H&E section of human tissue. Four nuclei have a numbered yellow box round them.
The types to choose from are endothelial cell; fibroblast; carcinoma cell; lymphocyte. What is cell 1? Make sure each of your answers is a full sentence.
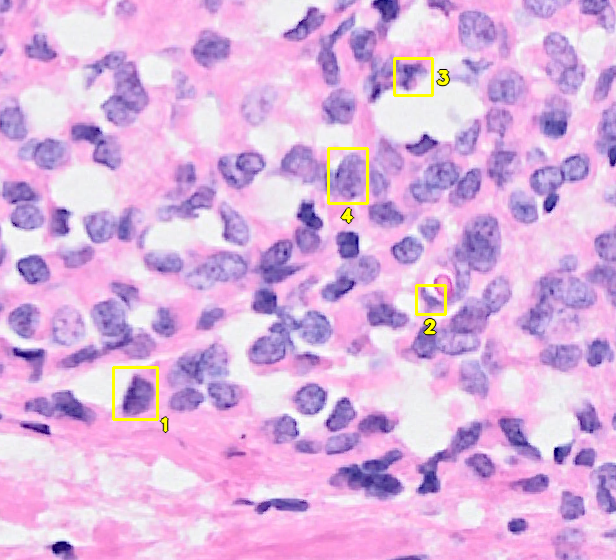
The cell marked with the number 1 is a carcinoma cell.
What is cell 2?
Among the marked nuclei, number 2 belongs to an endothelial cell.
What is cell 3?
The marked nucleus 3 is that of a carcinoma cell.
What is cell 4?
The correct answer for cell 4 is a carcinoma cell.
